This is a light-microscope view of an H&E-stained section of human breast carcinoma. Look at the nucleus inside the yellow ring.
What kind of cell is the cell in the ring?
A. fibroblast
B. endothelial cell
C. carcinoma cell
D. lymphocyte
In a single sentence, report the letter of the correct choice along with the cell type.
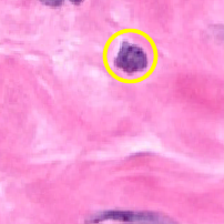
Option D describes the cell in the ring accurately as a lymphocyte.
